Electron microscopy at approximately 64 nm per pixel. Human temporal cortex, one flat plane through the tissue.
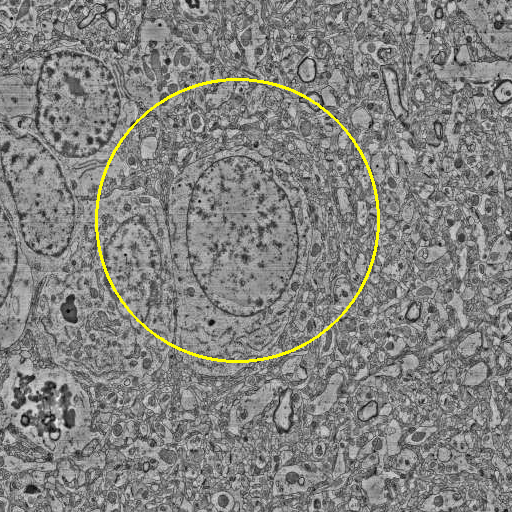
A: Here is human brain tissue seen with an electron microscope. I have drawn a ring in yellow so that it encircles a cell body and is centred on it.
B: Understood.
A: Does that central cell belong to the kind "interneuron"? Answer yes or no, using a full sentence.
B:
No, the central cell inside your yellow ring belongs to another kind.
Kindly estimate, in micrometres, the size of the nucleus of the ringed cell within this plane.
In this plane, roughly 10 by 7 micrometres.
